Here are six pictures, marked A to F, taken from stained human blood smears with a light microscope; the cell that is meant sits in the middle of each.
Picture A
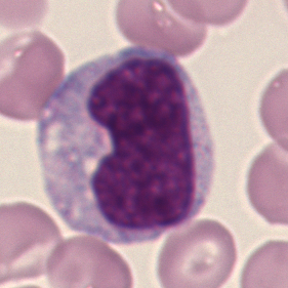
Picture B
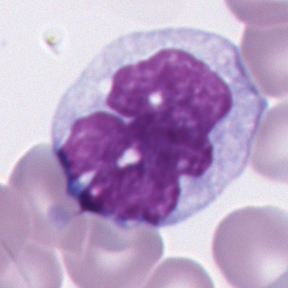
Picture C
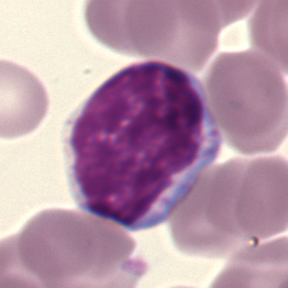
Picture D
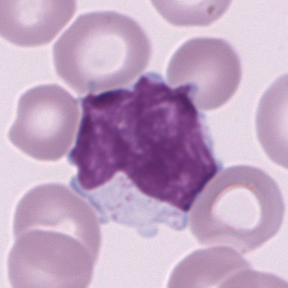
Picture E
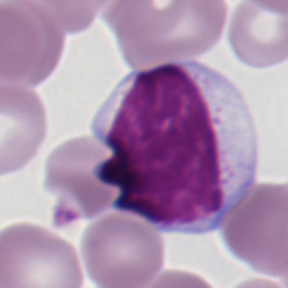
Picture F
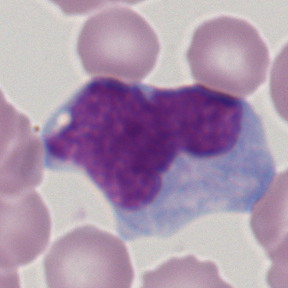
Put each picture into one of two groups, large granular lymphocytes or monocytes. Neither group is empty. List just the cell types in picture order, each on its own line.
monocyte
monocyte
large granular lymphocyte
large granular lymphocyte
large granular lymphocyte
monocyte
